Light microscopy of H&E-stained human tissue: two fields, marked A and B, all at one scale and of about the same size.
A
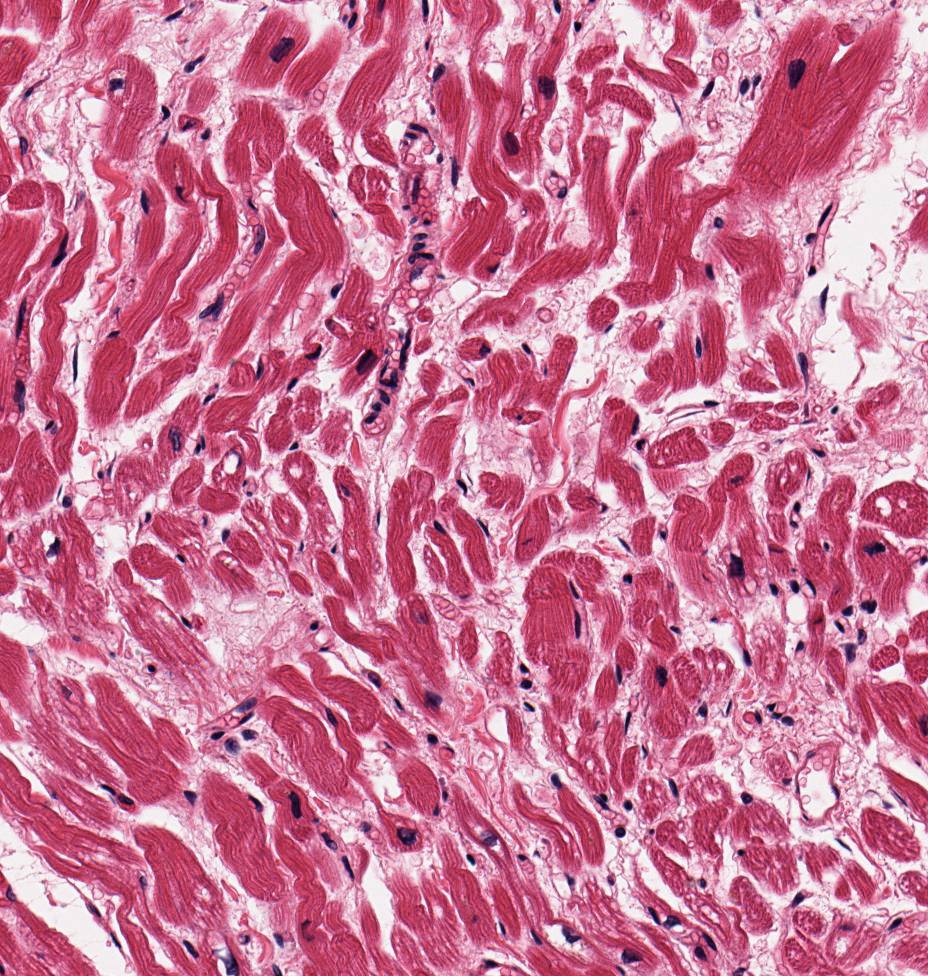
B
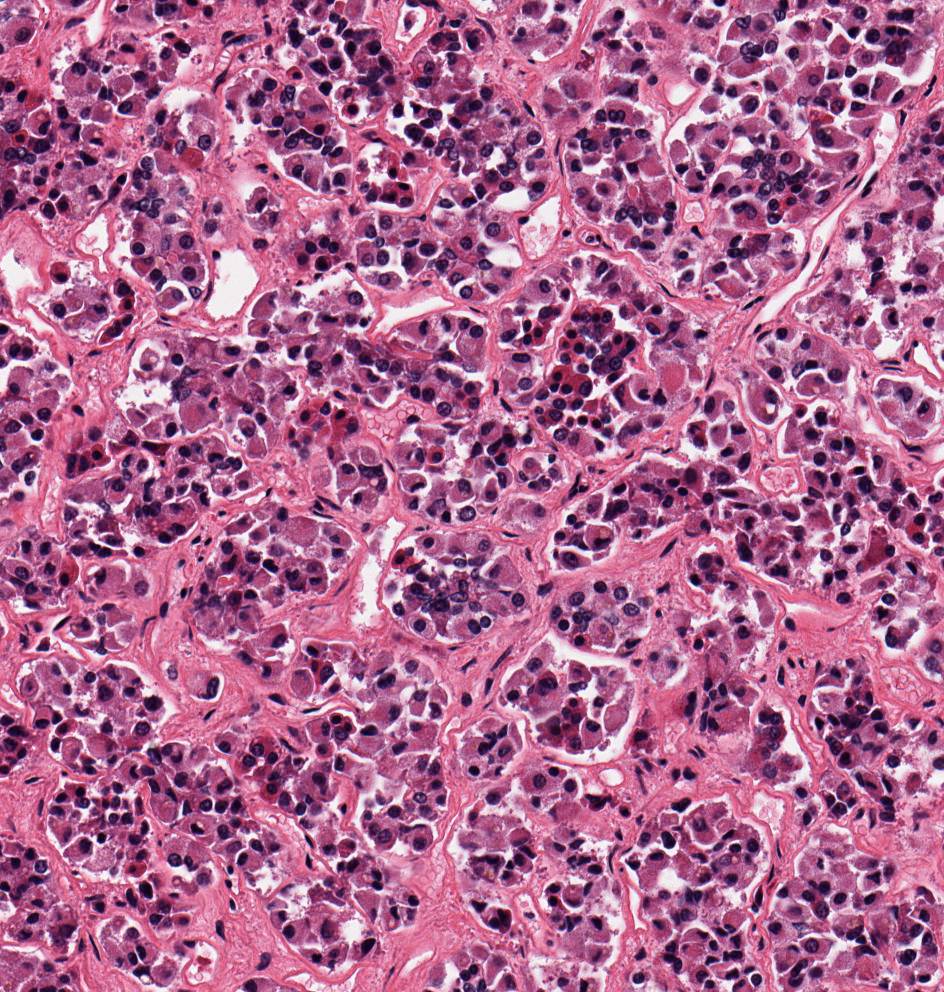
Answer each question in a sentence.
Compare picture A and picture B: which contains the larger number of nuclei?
Picture B holds more nuclei than picture A.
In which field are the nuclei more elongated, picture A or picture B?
The nuclei are more elongated in picture A.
